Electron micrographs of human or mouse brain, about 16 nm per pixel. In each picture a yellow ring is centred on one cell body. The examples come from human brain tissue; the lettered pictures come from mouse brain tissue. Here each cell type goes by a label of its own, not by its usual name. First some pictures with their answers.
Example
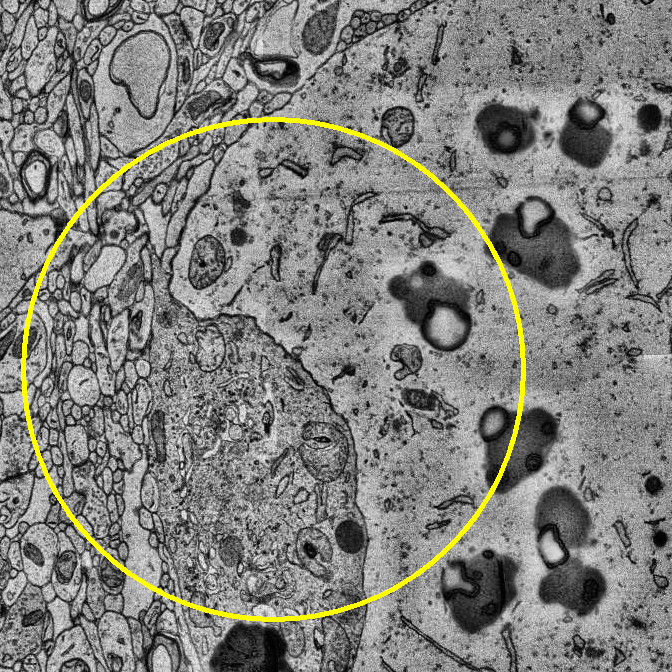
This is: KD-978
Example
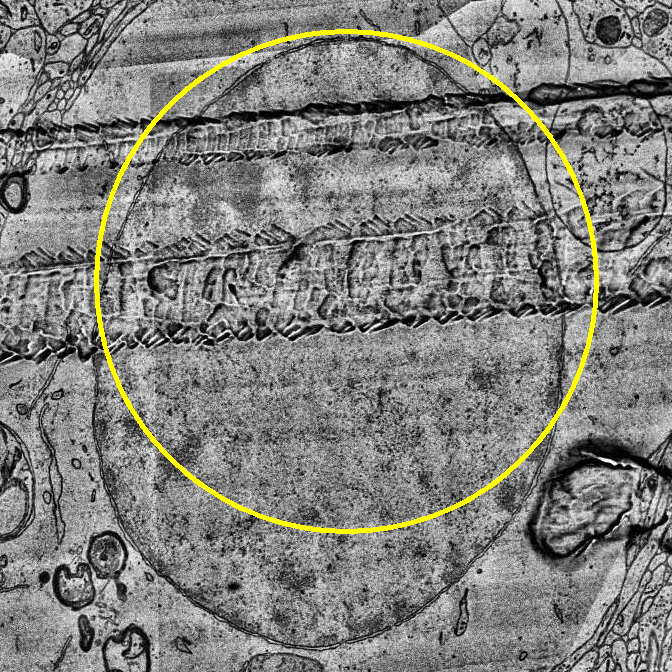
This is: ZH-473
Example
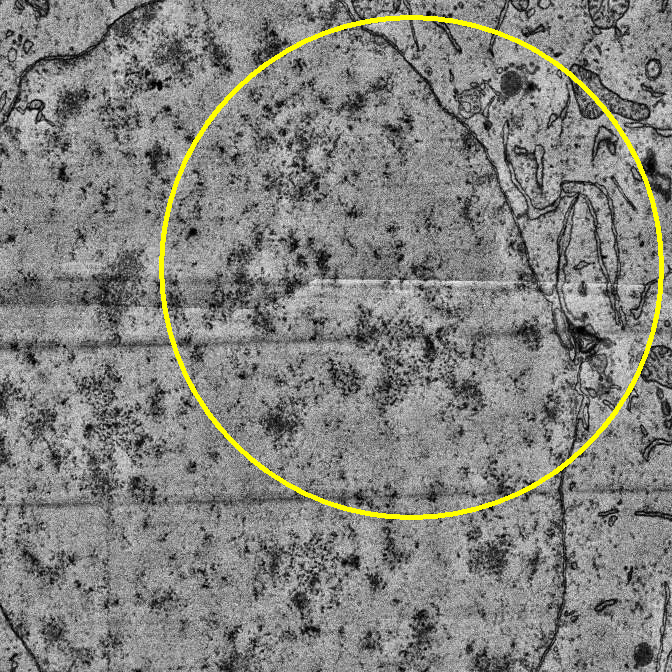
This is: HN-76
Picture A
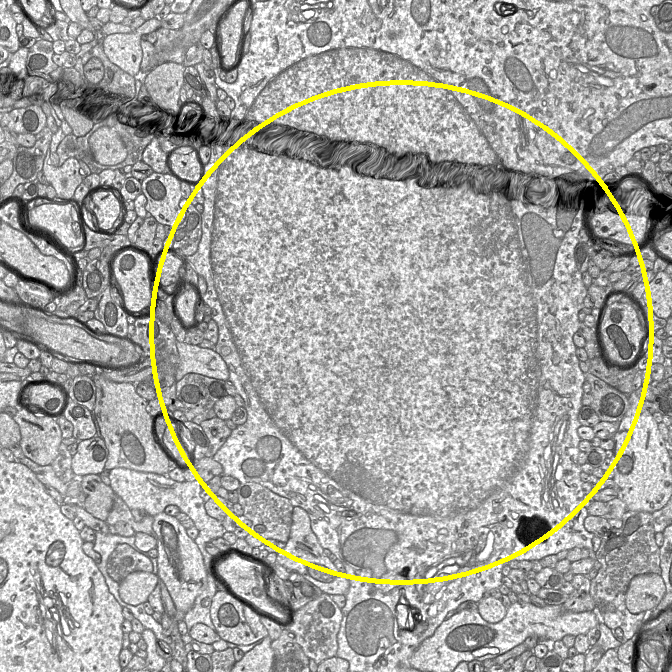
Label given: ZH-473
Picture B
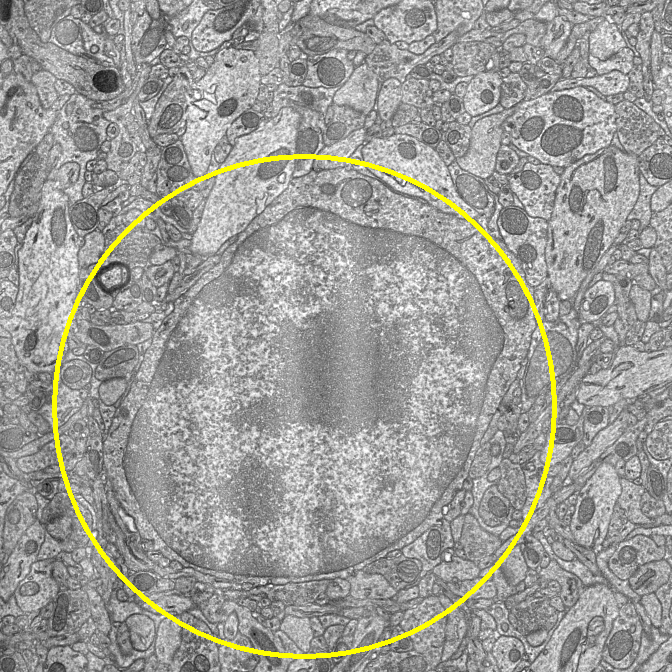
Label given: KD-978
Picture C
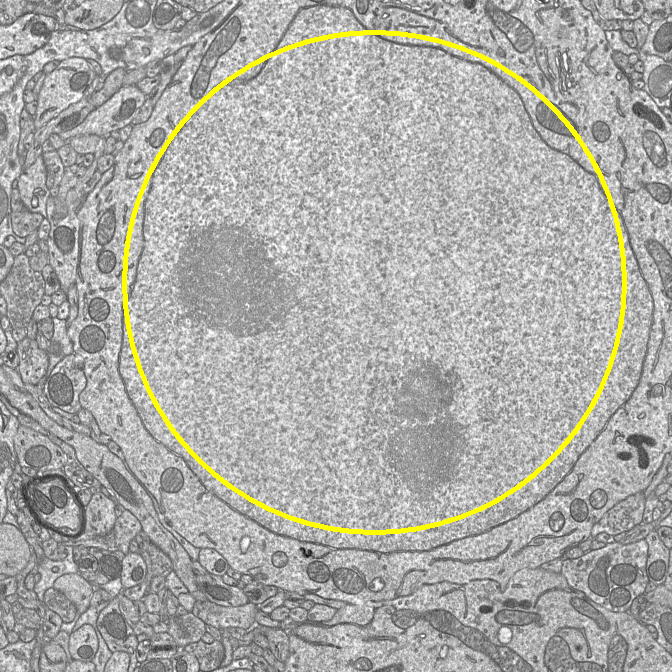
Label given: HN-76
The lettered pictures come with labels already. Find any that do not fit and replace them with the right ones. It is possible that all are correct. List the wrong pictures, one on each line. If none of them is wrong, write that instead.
All correct.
